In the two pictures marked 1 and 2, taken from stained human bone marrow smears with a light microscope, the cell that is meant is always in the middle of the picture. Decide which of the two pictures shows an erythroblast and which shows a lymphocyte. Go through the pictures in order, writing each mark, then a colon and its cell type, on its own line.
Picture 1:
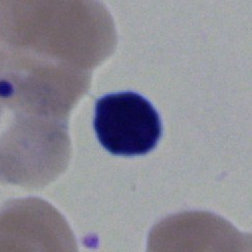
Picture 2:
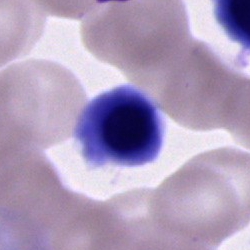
1: lymphocyte
2: erythroblast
